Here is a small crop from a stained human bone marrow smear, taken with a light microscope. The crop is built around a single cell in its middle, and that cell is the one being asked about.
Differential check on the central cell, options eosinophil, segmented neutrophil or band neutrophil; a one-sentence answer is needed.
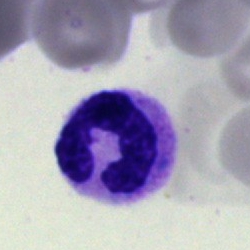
Among the cells in view, the one in the middle is a segmented neutrophil.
